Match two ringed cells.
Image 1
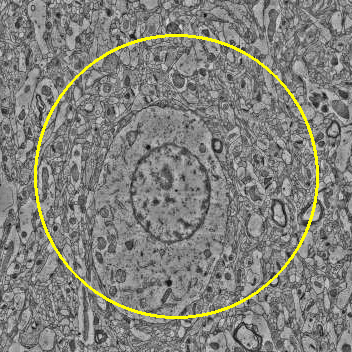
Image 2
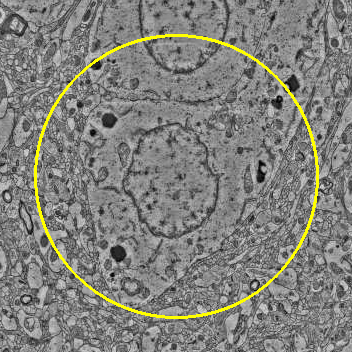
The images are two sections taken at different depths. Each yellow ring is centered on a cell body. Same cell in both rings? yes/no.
no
